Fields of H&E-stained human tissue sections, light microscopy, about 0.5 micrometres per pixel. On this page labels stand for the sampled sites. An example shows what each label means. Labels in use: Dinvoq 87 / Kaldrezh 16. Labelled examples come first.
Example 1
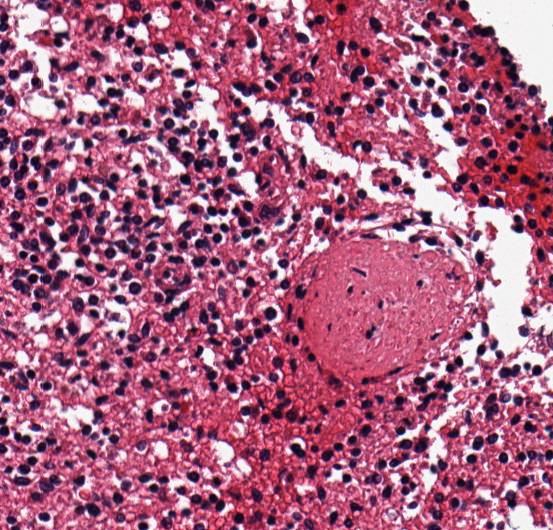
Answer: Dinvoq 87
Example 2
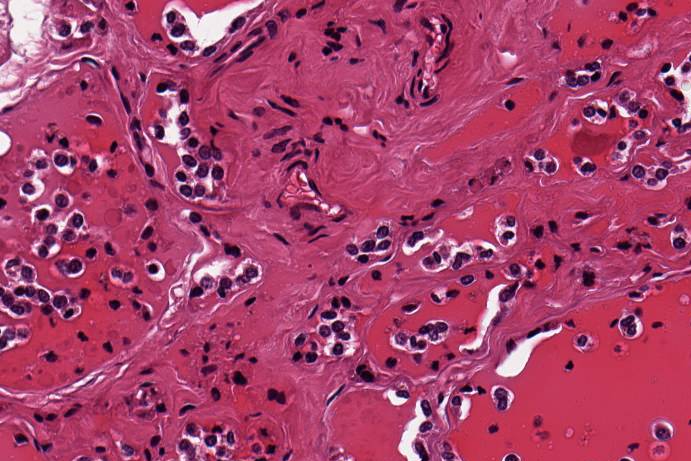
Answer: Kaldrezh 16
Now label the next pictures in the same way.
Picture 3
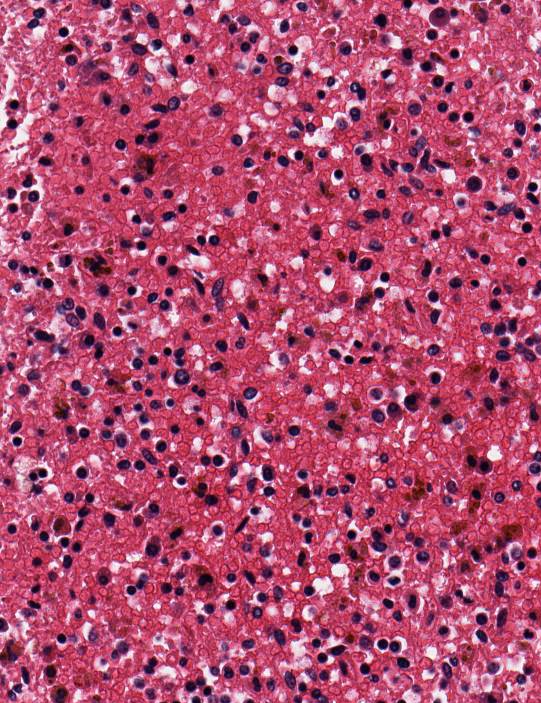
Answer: Dinvoq 87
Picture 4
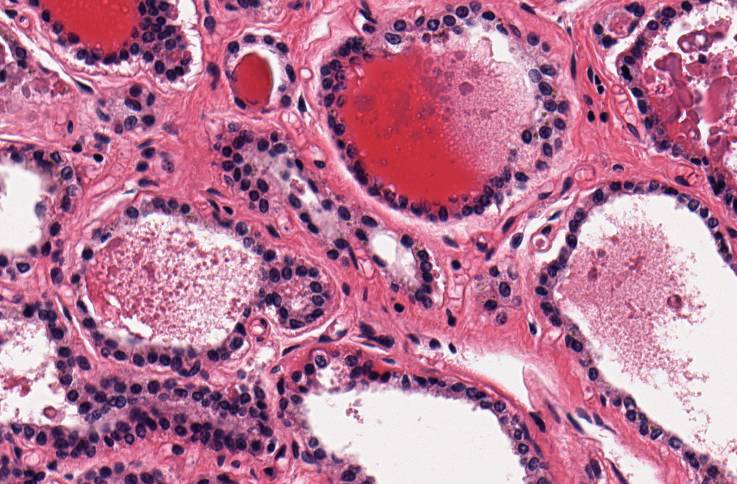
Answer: Kaldrezh 16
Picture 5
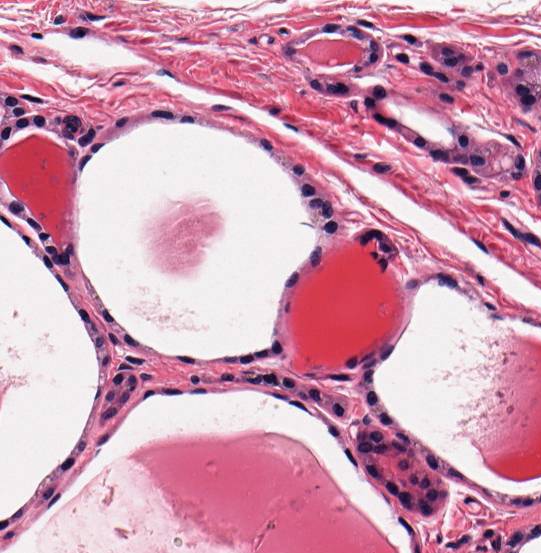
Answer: Kaldrezh 16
